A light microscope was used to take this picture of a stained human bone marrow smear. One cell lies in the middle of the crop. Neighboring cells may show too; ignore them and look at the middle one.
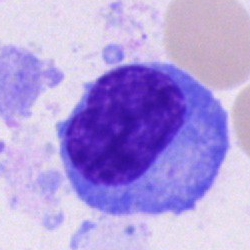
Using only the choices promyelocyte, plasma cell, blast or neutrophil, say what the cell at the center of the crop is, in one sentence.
The cell found in the middle of this crop is a plasma cell.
